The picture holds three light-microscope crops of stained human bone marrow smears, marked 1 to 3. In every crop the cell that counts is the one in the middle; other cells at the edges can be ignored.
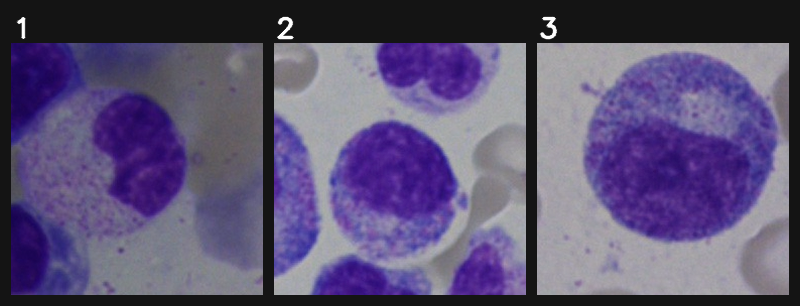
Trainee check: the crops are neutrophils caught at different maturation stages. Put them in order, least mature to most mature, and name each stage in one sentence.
Ordering the crops by maturity, least first, gives crop 3 (a promyelocyte), crop 2 (a myelocyte) and crop 1 (a metamyelocyte).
